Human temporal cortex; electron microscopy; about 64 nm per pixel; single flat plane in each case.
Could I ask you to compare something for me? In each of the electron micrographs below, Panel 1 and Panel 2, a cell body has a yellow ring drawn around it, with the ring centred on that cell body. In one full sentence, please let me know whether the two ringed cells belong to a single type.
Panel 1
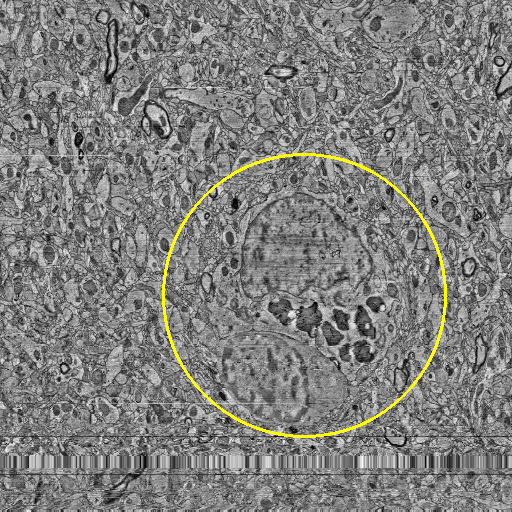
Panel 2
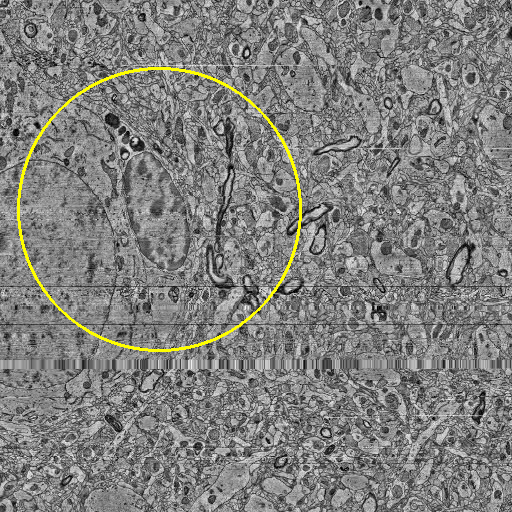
No, the two cells at the centres of the rings are of two types.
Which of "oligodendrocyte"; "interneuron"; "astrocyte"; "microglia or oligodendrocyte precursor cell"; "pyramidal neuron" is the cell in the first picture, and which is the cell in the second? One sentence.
The two differ: the first cell is an interneuron and the second is a microglial cell or oligodendrocyte precursor cell.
